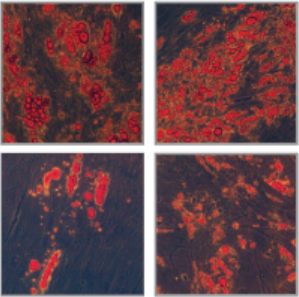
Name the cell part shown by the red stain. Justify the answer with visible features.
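Many small round red bodies crowd within the cells. The red bodies stand out against a dark, unstained background.
Conclusion: lipid droplets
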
